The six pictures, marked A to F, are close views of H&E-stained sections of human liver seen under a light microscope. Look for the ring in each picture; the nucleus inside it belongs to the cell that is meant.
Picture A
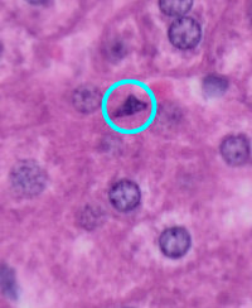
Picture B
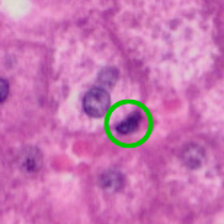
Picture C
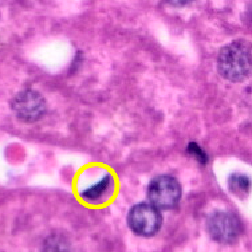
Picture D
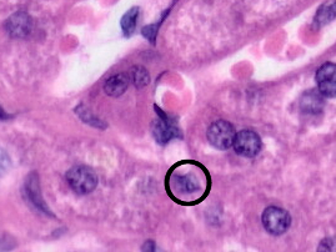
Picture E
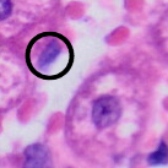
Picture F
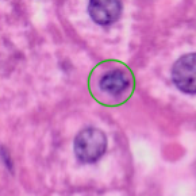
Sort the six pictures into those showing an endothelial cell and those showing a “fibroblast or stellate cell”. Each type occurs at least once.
A: fibroblast or stellate cell
B: fibroblast or stellate cell
C: endothelial cell
D: fibroblast or stellate cell
E: endothelial cell
F: fibroblast or stellate cell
